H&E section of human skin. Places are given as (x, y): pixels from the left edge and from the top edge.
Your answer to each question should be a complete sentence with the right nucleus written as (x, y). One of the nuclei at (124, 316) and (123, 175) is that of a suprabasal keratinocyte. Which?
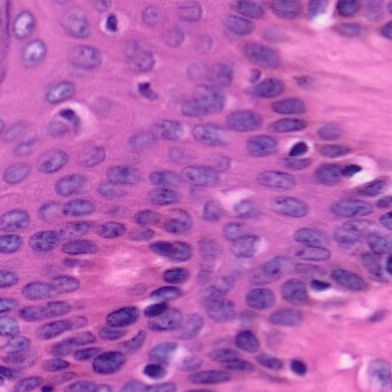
The nucleus at (123, 175) is assigned to a suprabasal keratinocyte.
